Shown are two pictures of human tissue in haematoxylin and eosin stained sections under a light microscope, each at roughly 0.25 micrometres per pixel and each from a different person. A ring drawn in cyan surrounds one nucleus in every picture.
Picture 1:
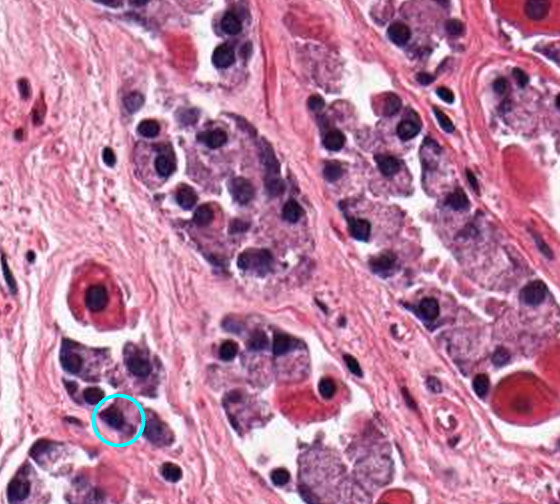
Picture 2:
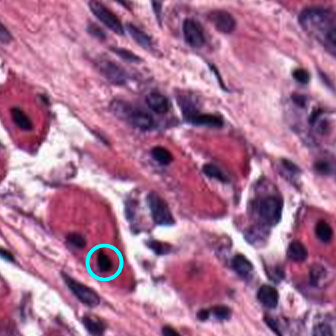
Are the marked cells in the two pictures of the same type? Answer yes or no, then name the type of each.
No, the first is a chief cell and the second a parietal cell.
